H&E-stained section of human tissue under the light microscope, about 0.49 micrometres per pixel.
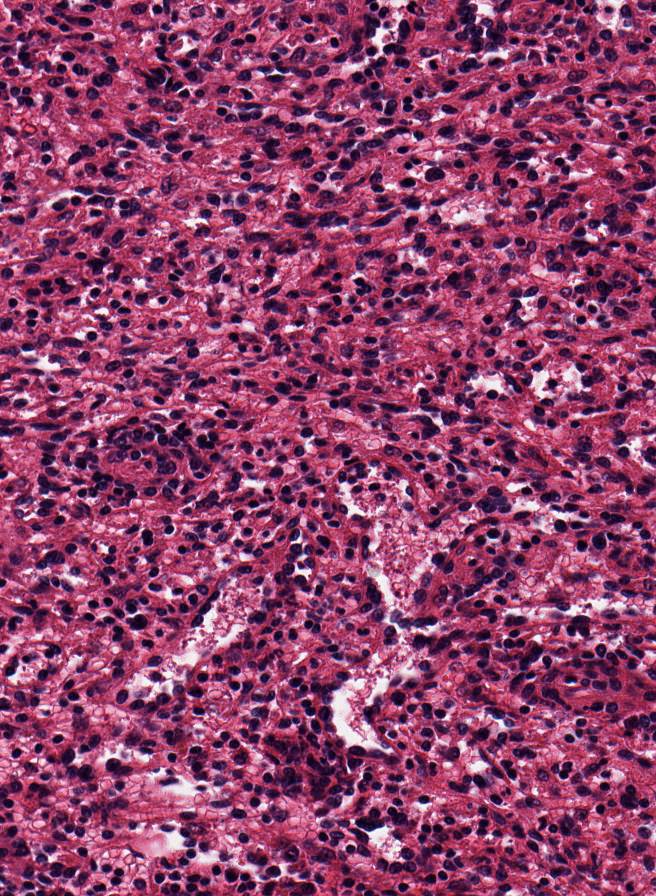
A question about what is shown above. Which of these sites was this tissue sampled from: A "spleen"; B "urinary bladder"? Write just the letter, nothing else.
A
